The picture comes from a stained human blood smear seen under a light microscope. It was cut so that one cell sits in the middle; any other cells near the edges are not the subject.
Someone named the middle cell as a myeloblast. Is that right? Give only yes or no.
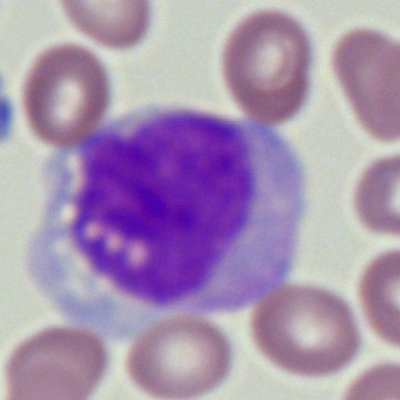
no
